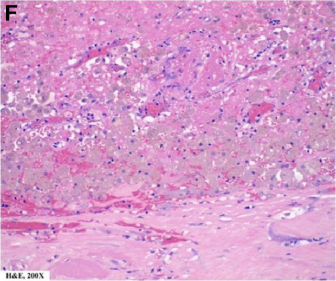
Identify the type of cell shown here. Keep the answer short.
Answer: hemosiderin-laden macrophages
